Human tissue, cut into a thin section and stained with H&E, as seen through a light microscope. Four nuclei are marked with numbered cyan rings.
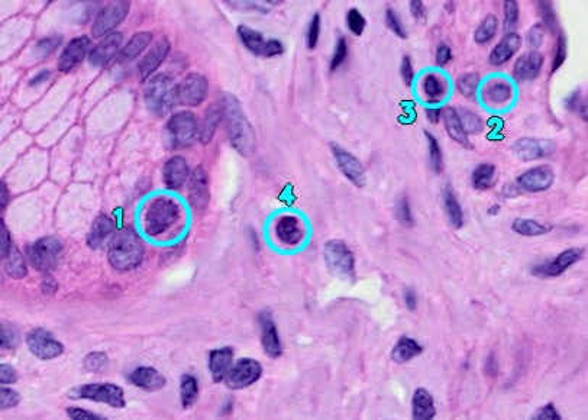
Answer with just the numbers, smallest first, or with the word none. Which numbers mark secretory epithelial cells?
1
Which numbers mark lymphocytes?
4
